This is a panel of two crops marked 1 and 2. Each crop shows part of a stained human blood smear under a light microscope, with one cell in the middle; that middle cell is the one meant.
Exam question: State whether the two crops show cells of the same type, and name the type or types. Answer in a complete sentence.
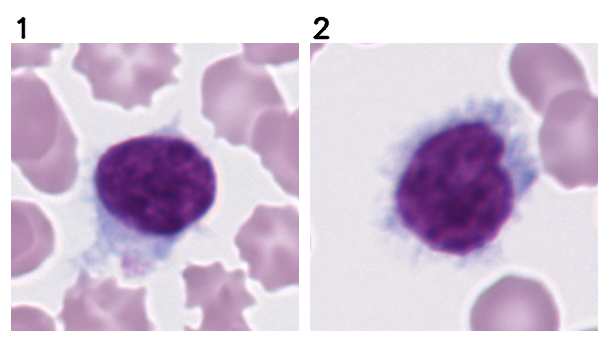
Yes, in the two crops, hairy cells are the cells at the centre.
